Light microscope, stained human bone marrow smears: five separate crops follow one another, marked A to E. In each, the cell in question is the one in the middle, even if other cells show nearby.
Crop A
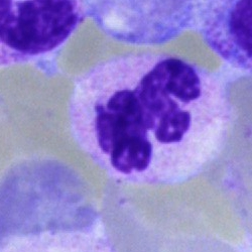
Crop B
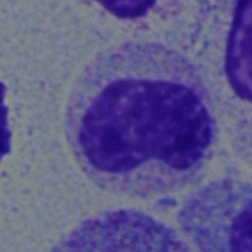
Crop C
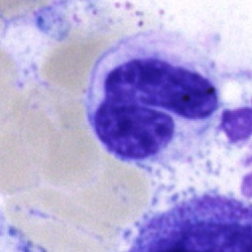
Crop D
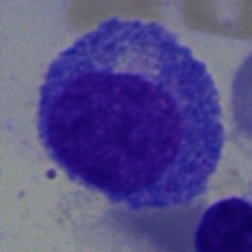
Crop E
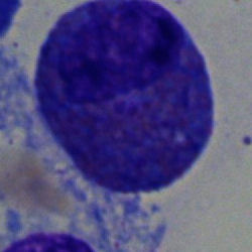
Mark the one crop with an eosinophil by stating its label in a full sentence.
The crop with an eosinophil at its center is crop E.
